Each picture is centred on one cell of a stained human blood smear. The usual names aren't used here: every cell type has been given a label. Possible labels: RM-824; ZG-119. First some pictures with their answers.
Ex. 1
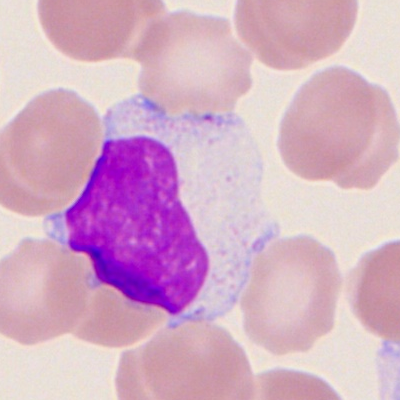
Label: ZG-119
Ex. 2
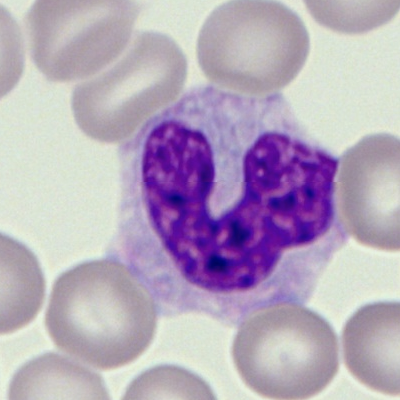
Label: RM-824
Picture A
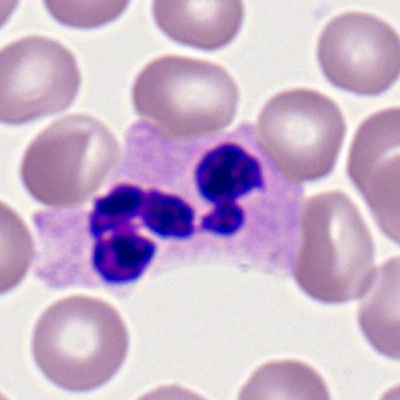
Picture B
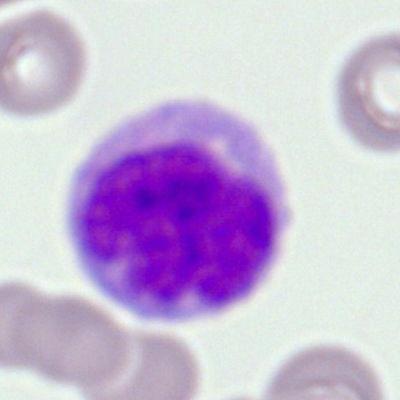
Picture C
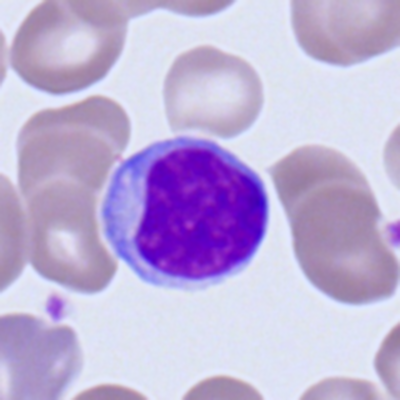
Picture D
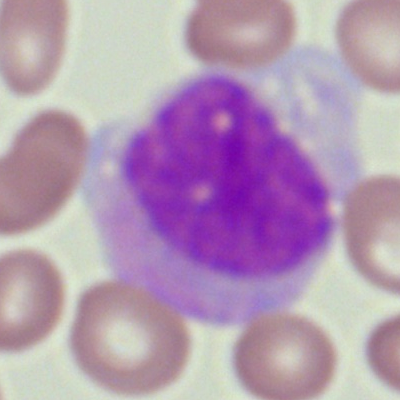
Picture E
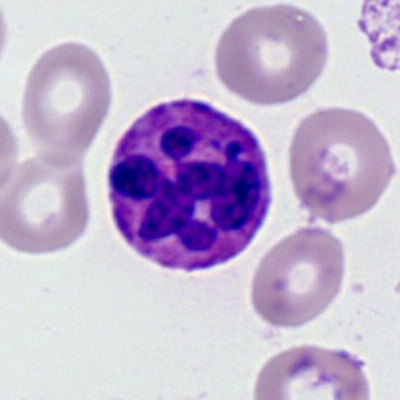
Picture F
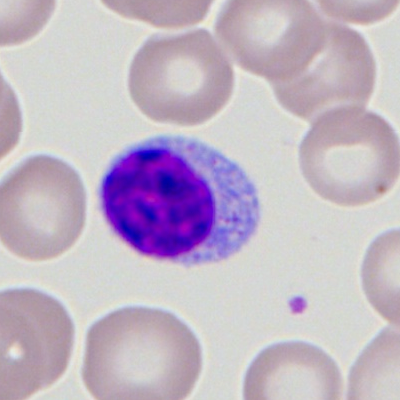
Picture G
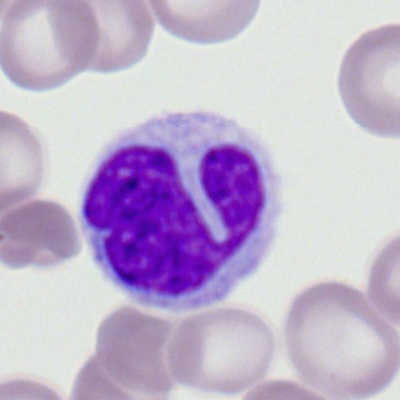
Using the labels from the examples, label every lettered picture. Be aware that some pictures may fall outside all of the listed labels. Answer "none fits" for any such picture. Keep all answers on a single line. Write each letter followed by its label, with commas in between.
A none fits, B RM-824, C ZG-119, D RM-824, E none fits, F ZG-119, G RM-824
